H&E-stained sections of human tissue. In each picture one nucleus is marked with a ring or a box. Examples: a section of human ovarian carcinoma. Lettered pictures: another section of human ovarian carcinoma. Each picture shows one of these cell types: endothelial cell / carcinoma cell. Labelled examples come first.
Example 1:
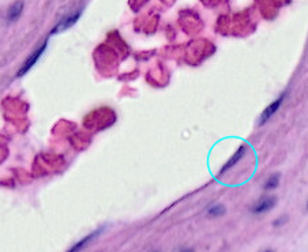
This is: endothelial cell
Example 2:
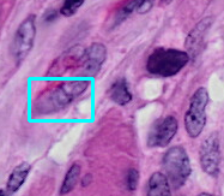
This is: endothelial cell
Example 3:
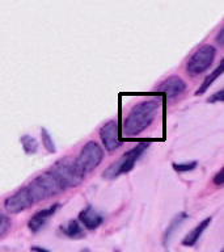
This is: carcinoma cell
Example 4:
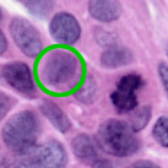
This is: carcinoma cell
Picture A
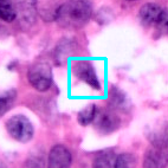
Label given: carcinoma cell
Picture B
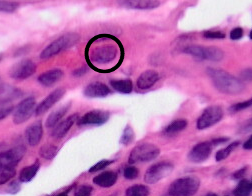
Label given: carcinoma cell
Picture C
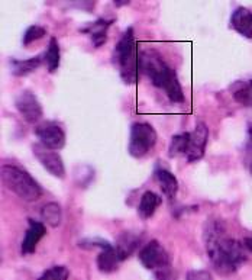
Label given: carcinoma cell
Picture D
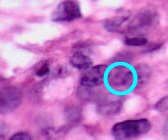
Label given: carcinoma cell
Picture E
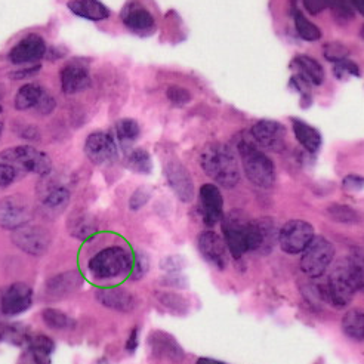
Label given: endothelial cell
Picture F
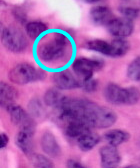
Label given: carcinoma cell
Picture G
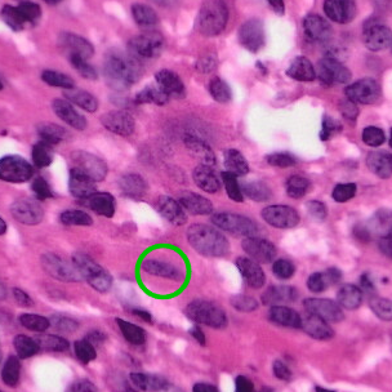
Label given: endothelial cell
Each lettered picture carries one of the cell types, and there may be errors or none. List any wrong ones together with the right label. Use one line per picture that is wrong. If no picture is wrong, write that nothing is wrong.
B should be endothelial cell, not carcinoma cell
E should be carcinoma cell, not endothelial cell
